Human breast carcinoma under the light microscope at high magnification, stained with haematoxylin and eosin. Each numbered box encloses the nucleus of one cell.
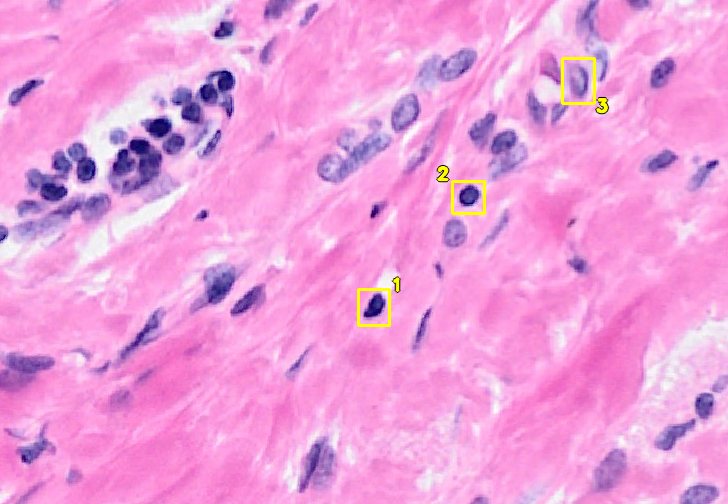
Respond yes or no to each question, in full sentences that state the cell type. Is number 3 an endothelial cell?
Yes, what number 3 marks is an endothelial cell.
